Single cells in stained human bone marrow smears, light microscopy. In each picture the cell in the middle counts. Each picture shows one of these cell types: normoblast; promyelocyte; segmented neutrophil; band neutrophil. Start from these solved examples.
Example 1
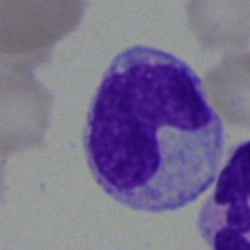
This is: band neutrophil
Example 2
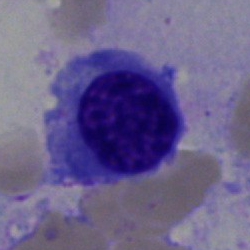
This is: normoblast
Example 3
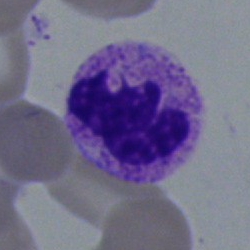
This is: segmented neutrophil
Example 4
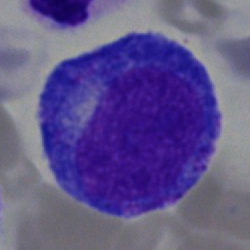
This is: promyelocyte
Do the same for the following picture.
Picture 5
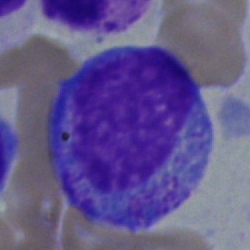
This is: promyelocyte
